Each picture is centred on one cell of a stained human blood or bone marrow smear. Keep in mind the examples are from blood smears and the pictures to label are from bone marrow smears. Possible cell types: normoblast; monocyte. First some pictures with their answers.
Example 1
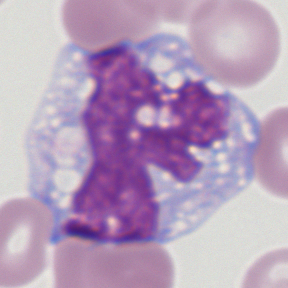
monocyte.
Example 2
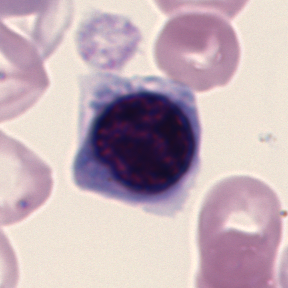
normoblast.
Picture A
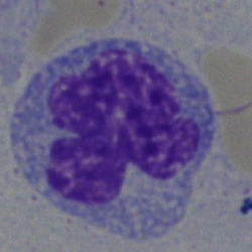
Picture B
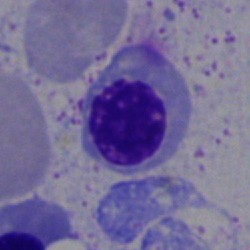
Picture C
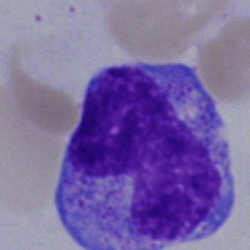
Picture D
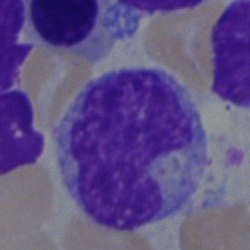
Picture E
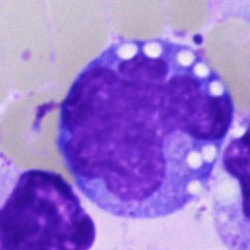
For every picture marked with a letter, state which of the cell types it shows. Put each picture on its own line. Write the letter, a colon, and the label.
A: monocyte.
B: normoblast.
C: monocyte.
D: monocyte.
E: monocyte.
